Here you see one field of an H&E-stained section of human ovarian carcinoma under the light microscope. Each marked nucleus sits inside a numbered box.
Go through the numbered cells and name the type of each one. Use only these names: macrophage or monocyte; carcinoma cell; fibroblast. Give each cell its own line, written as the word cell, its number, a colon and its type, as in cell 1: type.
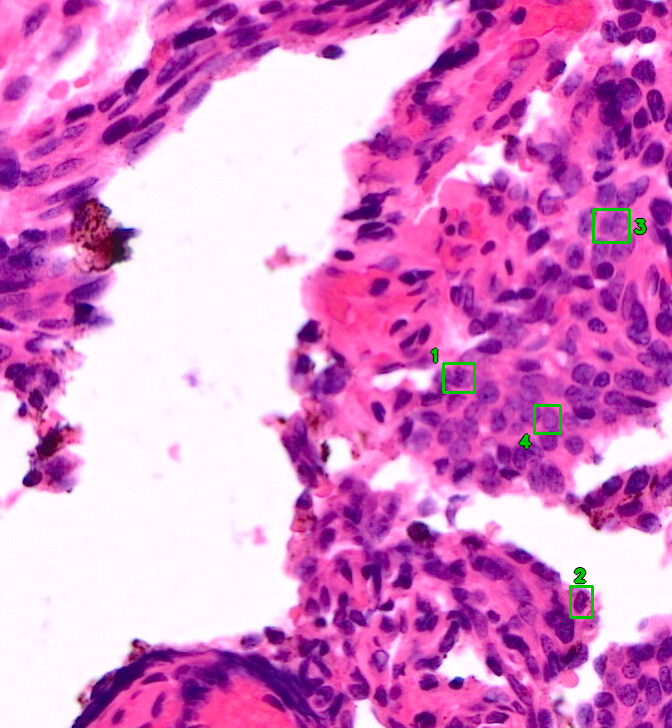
cell 1: carcinoma cell
cell 2: macrophage or monocyte
cell 3: carcinoma cell
cell 4: carcinoma cell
